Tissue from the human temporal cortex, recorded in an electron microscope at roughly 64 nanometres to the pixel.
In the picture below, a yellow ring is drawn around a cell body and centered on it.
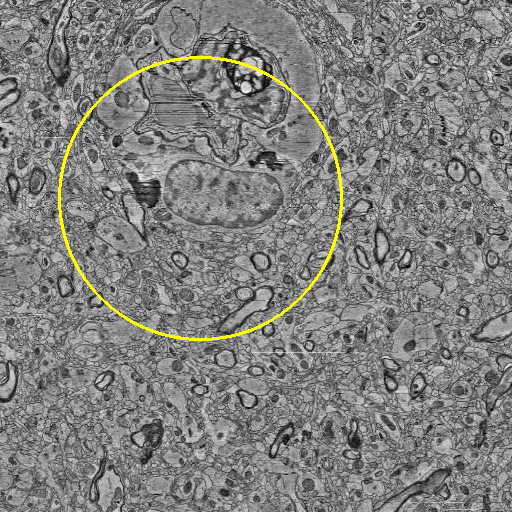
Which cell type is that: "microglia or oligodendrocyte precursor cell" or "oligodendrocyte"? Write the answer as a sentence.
The cell centered in the ring is an oligodendrocyte.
